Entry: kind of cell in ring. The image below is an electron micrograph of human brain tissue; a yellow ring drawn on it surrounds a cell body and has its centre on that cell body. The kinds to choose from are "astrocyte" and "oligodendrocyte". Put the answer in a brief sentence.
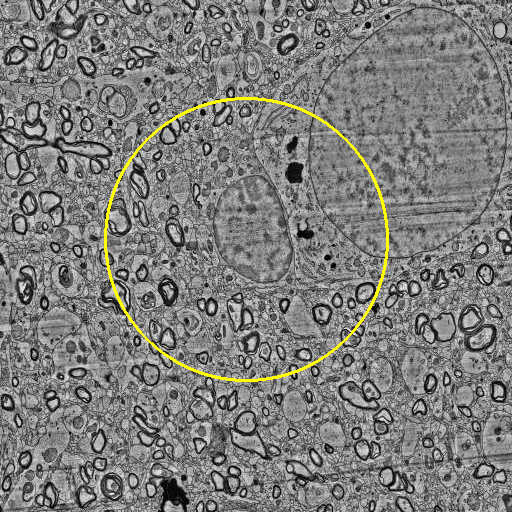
The ring has been drawn around an oligodendrocyte.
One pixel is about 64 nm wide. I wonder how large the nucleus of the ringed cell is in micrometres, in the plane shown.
In this plane the nucleus measures roughly 7 by 5 micrometers.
